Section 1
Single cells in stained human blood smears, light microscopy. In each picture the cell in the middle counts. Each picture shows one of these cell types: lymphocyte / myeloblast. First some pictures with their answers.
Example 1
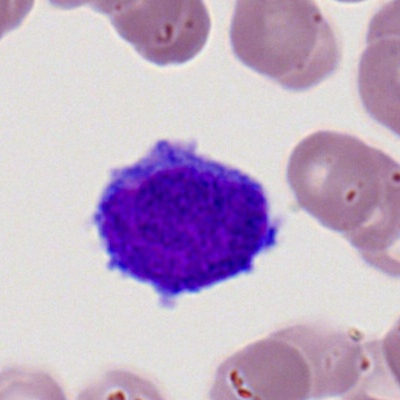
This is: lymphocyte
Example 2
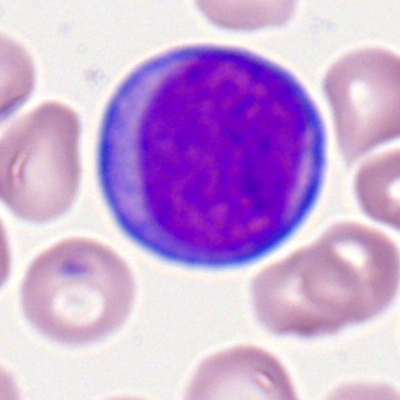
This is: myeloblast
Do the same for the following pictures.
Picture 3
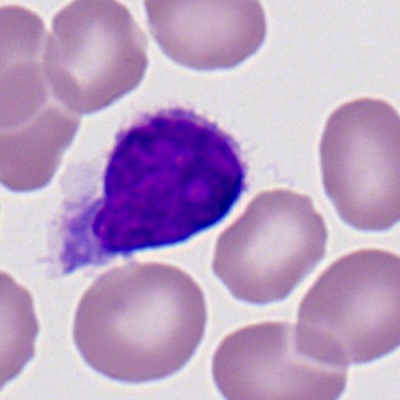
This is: lymphocyte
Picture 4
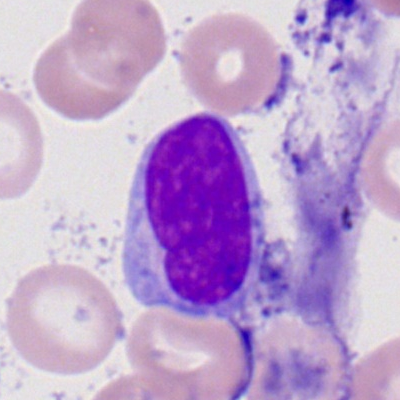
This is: lymphocyte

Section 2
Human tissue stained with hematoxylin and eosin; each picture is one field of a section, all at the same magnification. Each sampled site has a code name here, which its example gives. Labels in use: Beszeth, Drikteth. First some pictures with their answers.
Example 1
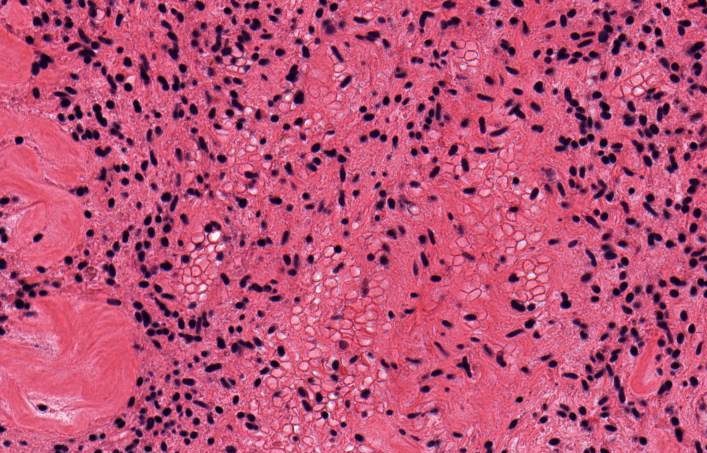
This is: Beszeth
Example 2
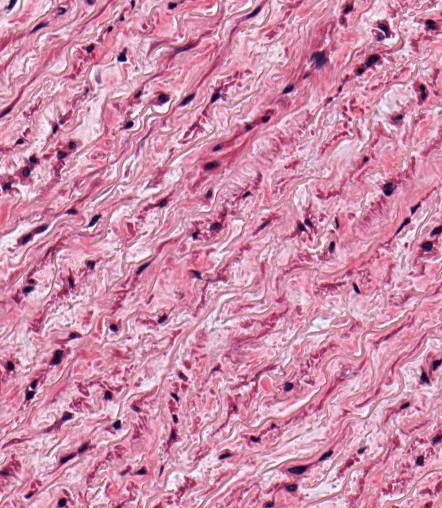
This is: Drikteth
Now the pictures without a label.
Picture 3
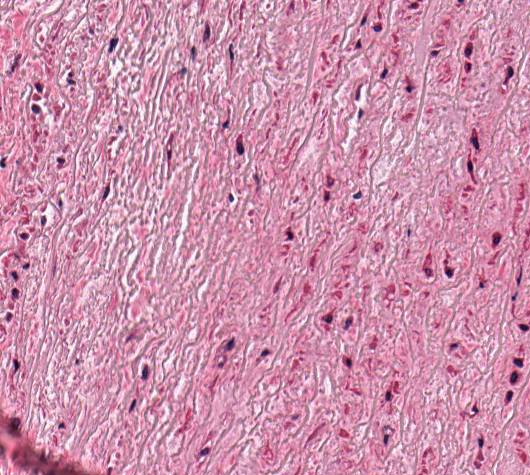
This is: Drikteth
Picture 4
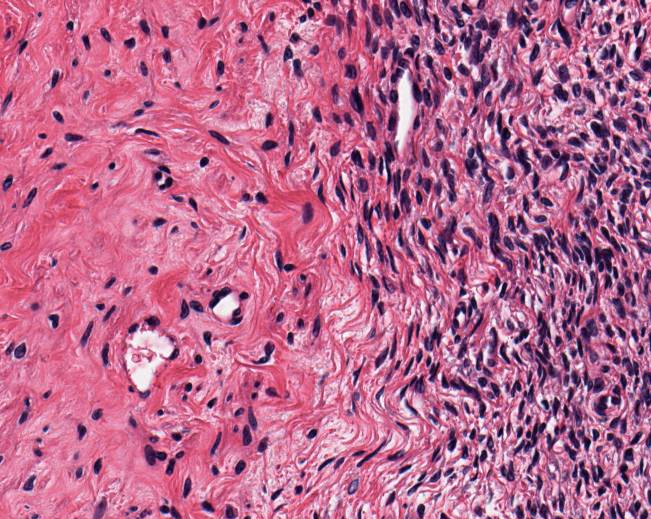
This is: Beszeth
